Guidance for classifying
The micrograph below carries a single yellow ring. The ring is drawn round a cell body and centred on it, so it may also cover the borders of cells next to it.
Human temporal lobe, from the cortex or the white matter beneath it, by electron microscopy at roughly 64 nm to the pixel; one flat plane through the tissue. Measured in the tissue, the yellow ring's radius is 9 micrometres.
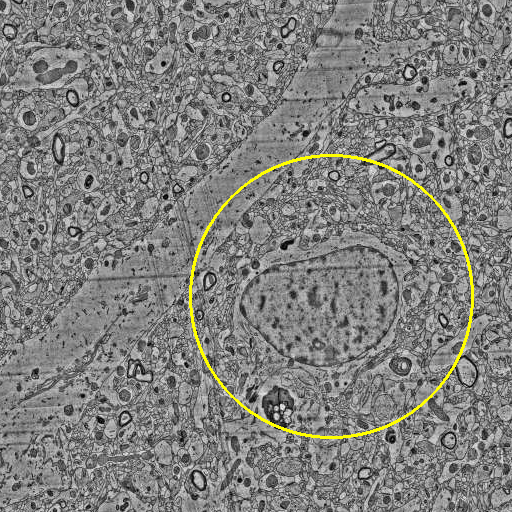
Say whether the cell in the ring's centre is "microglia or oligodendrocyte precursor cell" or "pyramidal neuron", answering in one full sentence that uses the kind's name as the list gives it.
Within the yellow ring, a microglial cell or oligodendrocyte precursor cell is the cell whose body sits at the centre.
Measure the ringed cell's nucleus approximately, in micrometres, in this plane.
About 10 micrometres by about 7 micrometres in this plane.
